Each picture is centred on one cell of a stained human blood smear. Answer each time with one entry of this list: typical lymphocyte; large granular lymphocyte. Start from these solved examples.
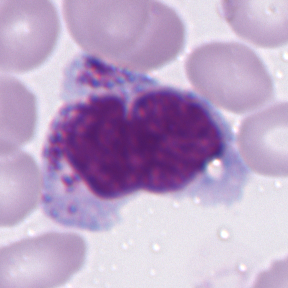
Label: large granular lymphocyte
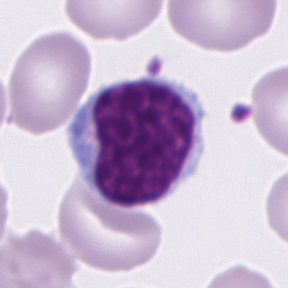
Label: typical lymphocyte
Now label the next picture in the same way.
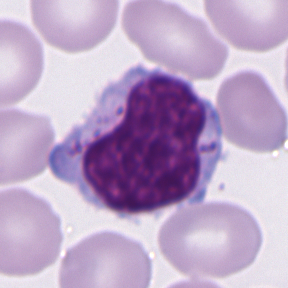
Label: large granular lymphocyte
